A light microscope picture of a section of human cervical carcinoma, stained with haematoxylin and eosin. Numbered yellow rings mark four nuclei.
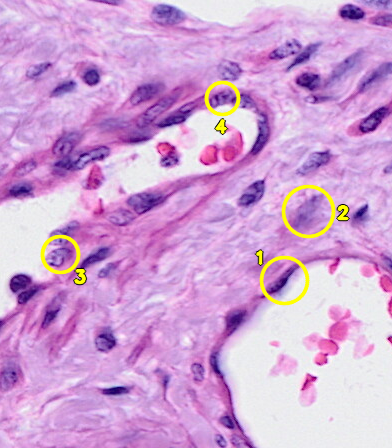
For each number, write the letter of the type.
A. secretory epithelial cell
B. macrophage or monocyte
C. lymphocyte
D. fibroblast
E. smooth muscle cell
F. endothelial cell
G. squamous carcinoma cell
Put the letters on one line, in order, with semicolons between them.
F; D; F; F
